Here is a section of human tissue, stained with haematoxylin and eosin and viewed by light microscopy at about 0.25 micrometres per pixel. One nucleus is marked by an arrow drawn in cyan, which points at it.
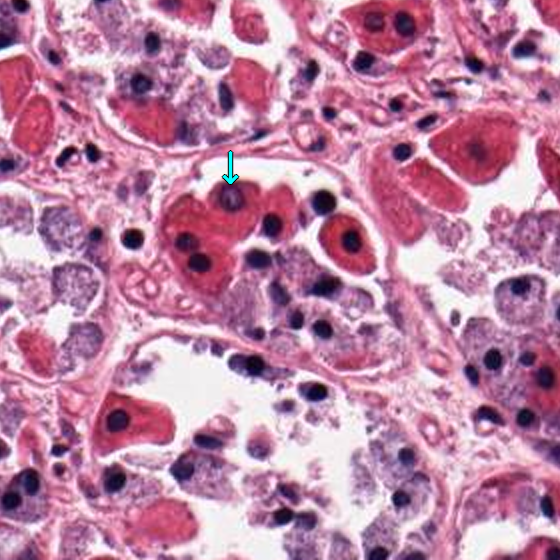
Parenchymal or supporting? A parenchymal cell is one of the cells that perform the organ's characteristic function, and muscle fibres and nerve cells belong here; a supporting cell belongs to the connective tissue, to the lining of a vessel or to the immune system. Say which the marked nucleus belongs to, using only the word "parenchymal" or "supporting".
parenchymal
